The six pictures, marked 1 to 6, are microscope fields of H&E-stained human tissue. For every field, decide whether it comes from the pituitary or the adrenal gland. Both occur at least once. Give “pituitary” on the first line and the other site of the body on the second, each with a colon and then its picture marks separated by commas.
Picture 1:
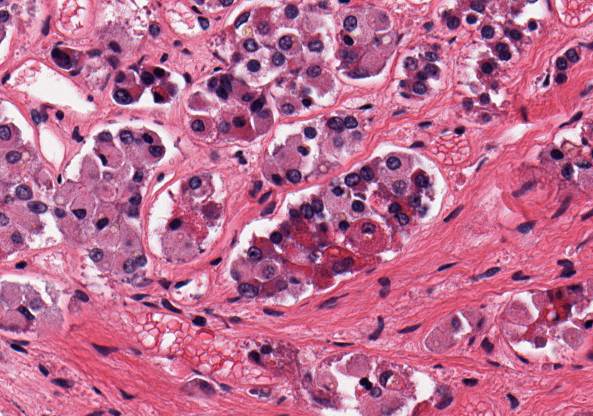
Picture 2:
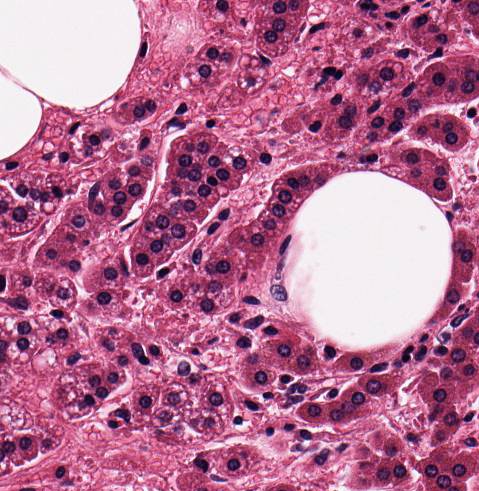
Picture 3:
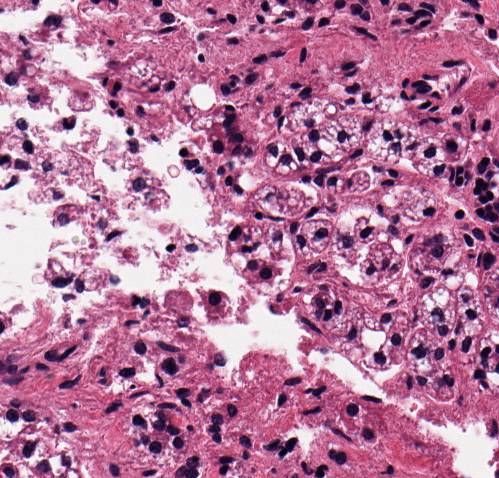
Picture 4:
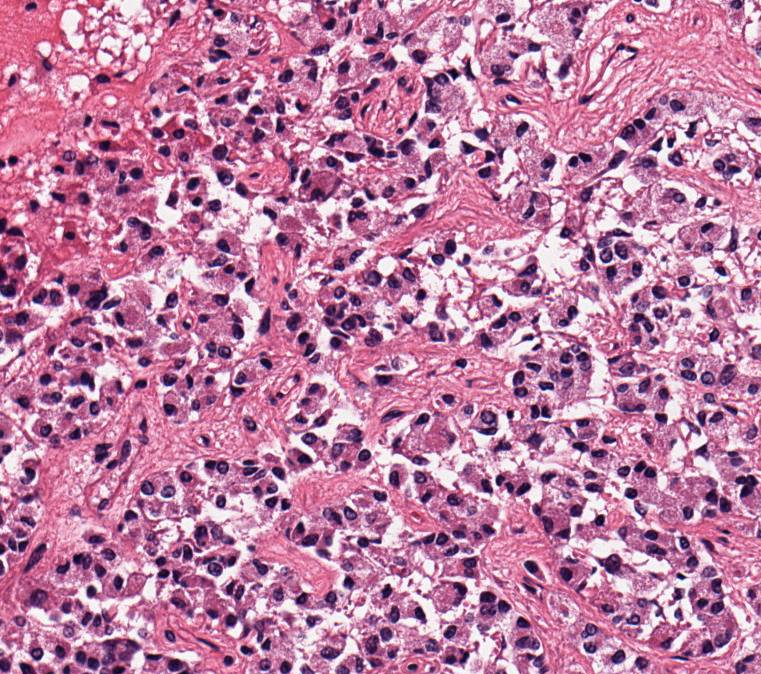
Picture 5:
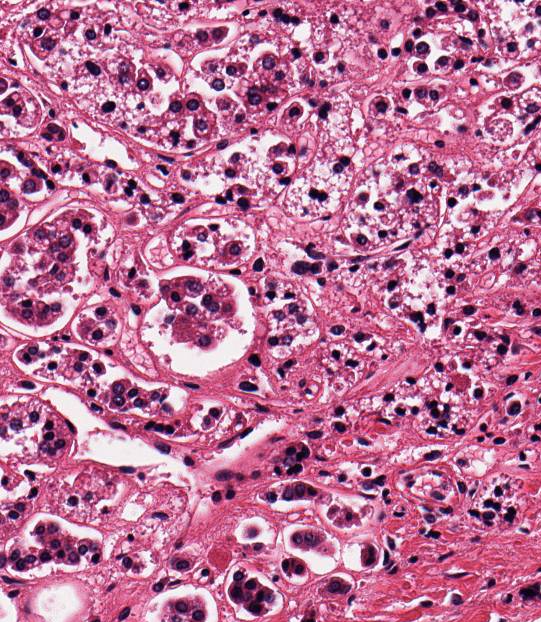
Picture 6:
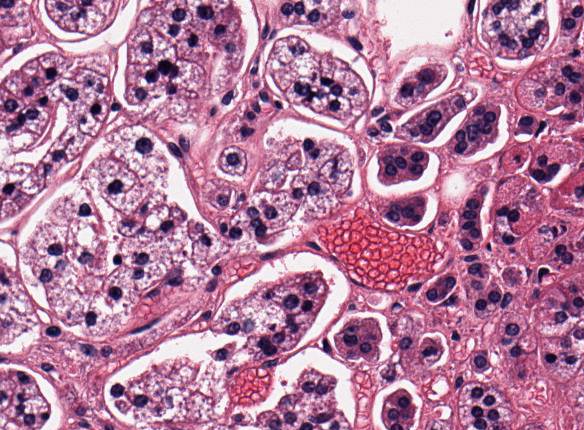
pituitary: 1, 4
adrenal gland: 2, 3, 5, 6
